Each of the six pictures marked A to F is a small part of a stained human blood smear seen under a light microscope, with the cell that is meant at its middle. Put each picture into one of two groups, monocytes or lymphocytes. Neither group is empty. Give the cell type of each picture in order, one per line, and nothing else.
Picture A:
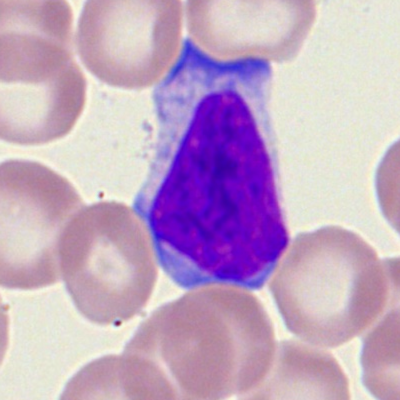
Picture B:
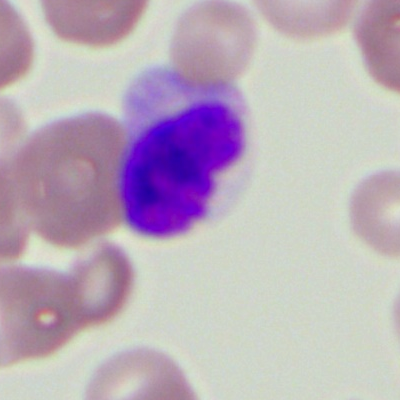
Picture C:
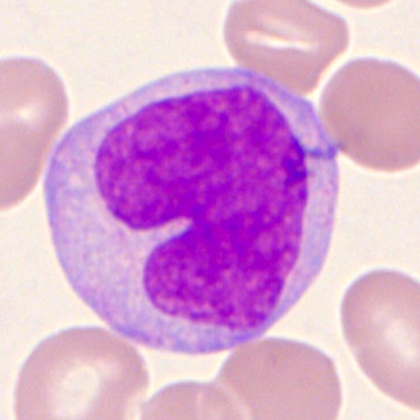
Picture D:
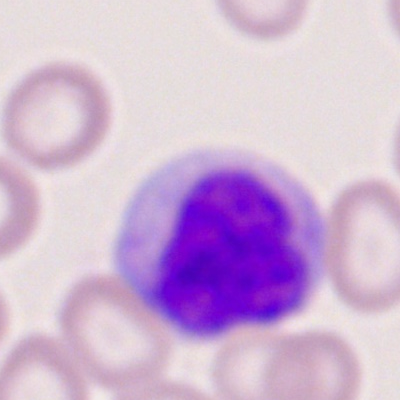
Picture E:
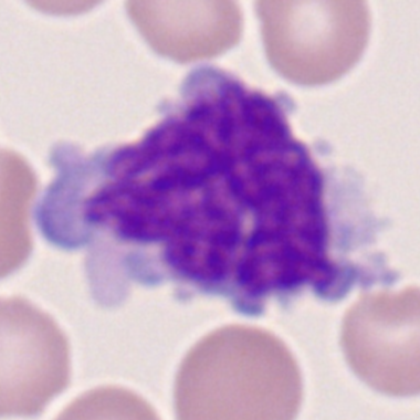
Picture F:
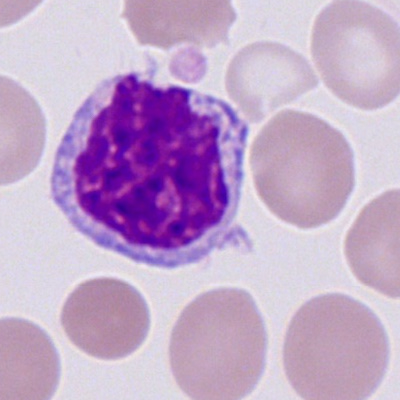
lymphocyte
lymphocyte
monocyte
monocyte
monocyte
lymphocyte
